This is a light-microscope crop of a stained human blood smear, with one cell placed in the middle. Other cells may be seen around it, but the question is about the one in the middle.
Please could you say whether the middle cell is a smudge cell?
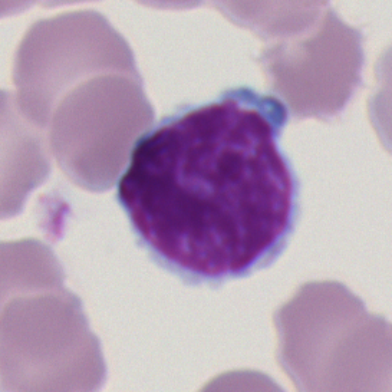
no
